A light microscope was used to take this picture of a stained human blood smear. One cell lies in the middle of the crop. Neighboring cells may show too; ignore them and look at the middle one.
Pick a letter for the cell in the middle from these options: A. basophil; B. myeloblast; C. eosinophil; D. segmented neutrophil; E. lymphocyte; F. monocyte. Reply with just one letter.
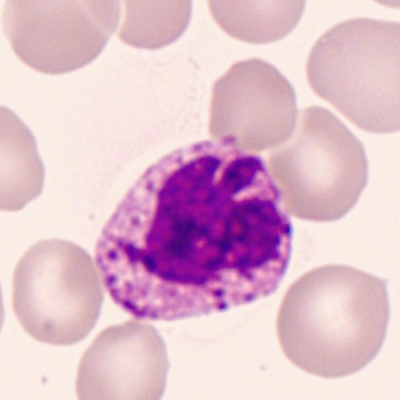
A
